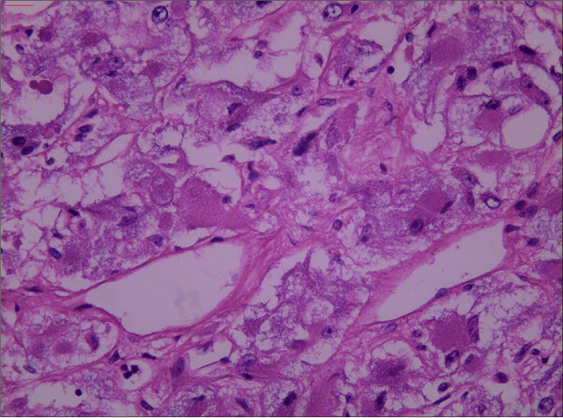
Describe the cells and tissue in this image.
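At higher power the tumor cells are seen as large round to oval cells with plentiful finely granular, pale purple cytoplasm, some of it looking wispy or vacuolated. The nuclei are round to oval and dark, sitting within the cytoplasm. Thin pink fibrous strands and open, thin-walled vascular spaces run between the groups of cells. A few cells have denser, more pink cytoplasm than their neighbours.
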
